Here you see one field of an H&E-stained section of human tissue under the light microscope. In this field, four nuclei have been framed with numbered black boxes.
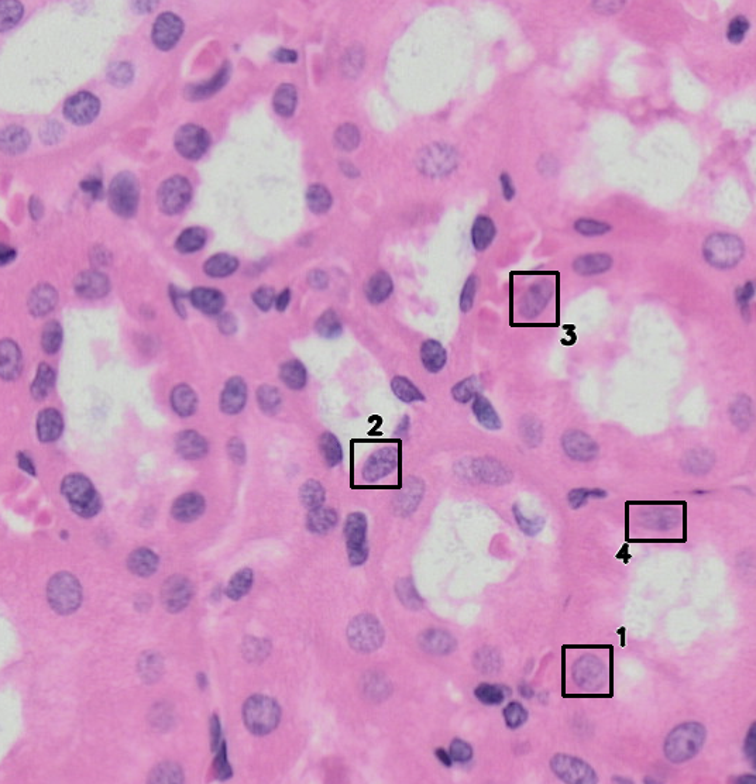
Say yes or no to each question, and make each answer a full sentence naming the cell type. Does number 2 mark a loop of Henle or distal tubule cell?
Yes, the cell with number 2 is a loop of Henle or distal tubule cell.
